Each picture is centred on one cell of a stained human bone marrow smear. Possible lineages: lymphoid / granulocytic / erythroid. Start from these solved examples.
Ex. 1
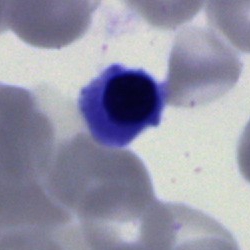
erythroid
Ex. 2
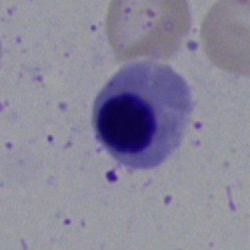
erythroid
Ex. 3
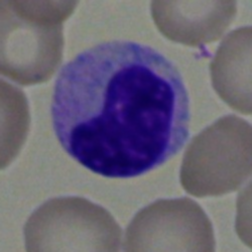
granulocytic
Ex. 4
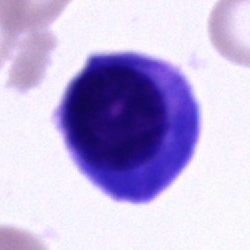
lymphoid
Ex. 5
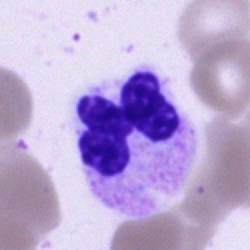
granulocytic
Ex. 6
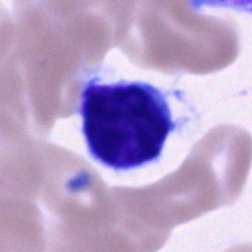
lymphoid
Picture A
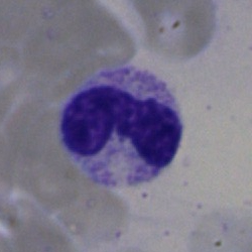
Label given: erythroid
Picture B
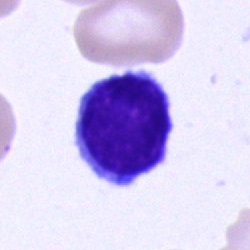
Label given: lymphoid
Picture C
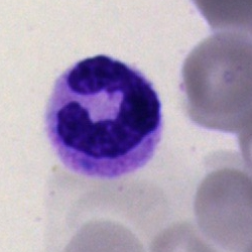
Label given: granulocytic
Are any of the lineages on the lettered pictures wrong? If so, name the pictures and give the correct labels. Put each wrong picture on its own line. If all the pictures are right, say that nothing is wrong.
A should be granulocytic, not erythroid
